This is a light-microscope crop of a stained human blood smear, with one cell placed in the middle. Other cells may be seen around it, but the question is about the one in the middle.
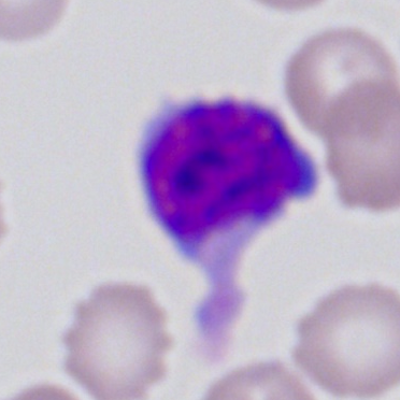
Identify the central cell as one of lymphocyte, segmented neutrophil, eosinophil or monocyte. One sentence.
Whatever else lies nearby, the middle cell is a lymphocyte.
